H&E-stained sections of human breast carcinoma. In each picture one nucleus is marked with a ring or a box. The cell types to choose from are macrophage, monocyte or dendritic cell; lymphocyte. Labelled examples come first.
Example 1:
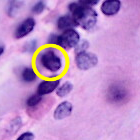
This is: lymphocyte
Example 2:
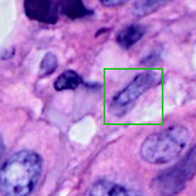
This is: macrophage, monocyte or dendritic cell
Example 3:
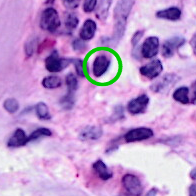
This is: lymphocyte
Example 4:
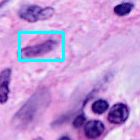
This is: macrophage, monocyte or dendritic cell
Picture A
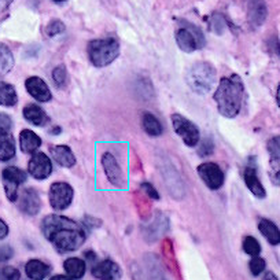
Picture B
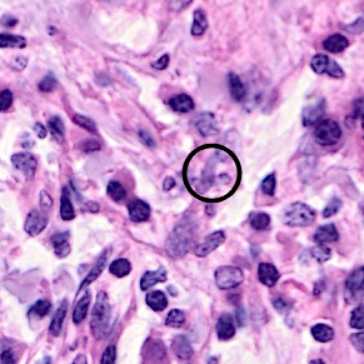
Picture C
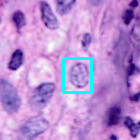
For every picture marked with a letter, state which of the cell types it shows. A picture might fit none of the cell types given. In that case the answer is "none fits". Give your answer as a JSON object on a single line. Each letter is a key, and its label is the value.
{"A": "none fits", "B": "macrophage, monocyte or dendritic cell", "C": "macrophage, monocyte or dendritic cell"}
